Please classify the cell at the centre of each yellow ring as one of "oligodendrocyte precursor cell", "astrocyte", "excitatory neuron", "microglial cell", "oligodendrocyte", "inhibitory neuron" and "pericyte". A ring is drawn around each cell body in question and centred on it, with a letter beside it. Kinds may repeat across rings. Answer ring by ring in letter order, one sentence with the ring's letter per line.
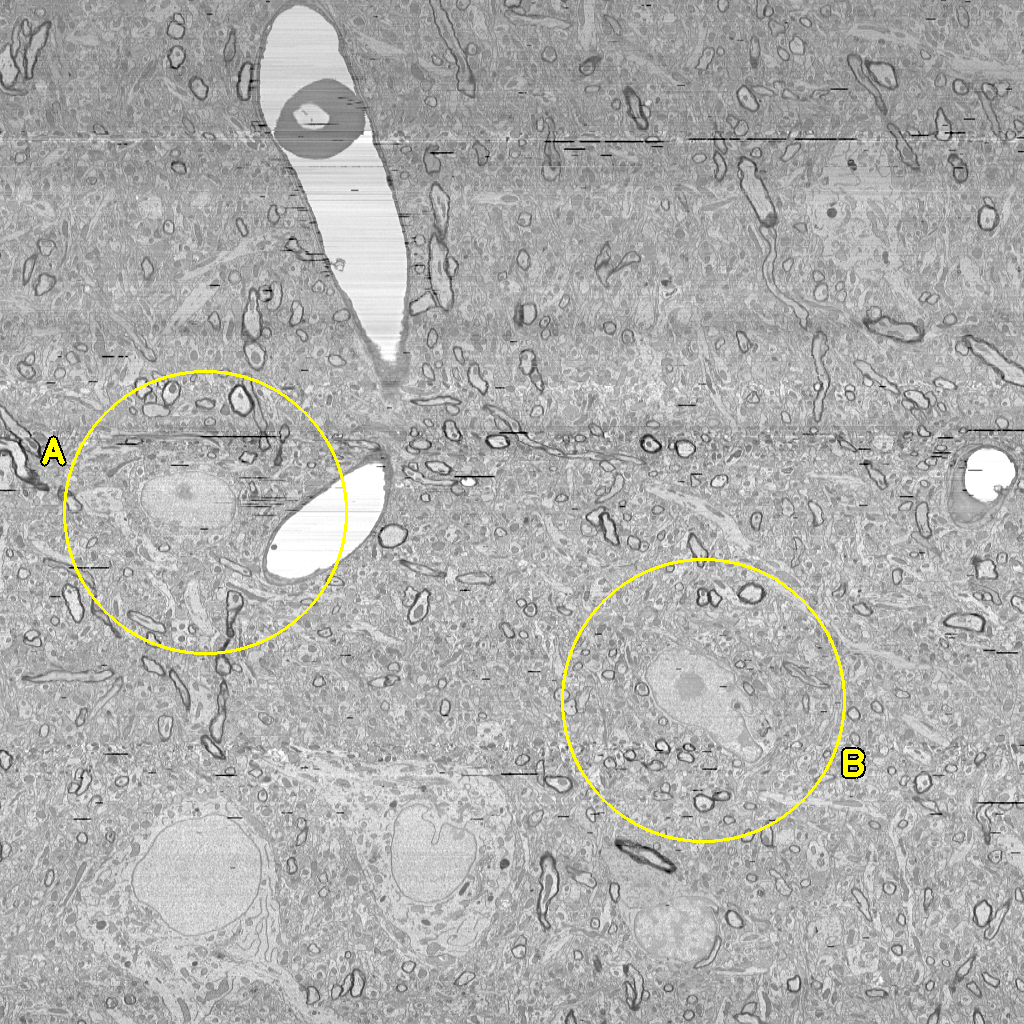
The cell at the heart of ring A is an astrocyte.
The cell at the heart of ring B is an oligodendrocyte precursor cell.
